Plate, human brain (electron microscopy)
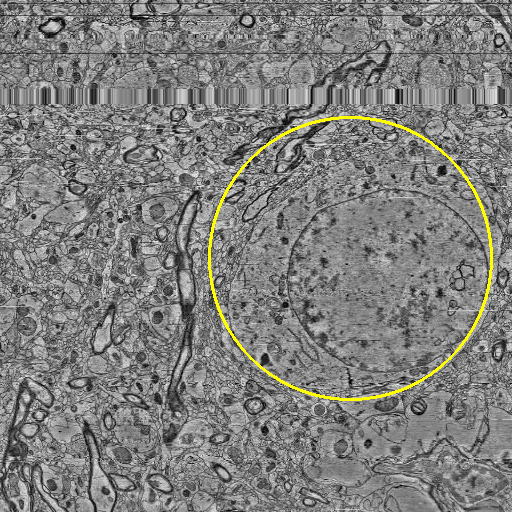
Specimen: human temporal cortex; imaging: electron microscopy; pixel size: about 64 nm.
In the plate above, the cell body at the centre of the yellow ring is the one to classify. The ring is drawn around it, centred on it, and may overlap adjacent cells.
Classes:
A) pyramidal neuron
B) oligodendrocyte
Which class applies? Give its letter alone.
A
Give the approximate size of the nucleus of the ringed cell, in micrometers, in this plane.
The nucleus is about 13 micrometres across in this plane.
